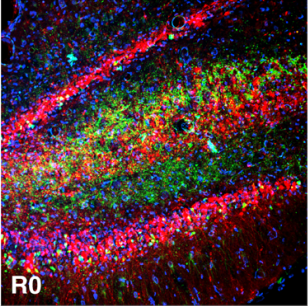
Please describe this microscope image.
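This is a section through the dentate gyrus of the hippocampus. Two curved bands of densely packed cells, strongly red, frame a central region. That central region is heavily filled with green labelling in fine dots and threads, with yellow where green and red coincide. Blue nuclei are scattered throughout. The green labelling is densest between the bands and thins toward the edges of the field.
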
